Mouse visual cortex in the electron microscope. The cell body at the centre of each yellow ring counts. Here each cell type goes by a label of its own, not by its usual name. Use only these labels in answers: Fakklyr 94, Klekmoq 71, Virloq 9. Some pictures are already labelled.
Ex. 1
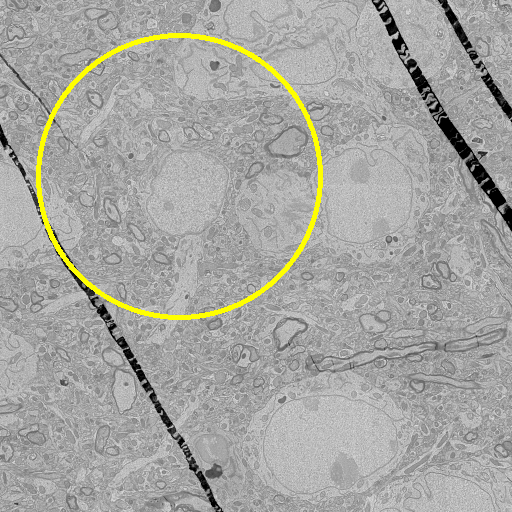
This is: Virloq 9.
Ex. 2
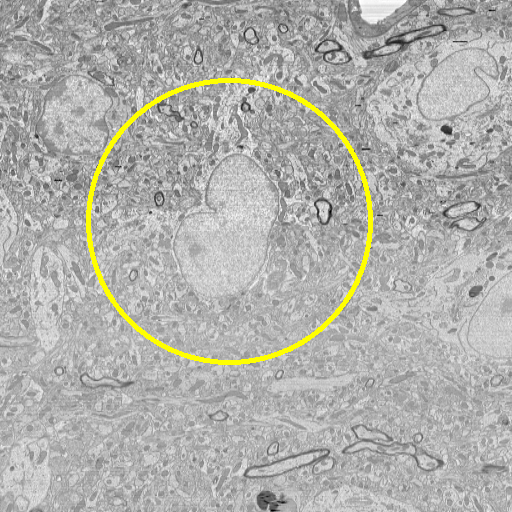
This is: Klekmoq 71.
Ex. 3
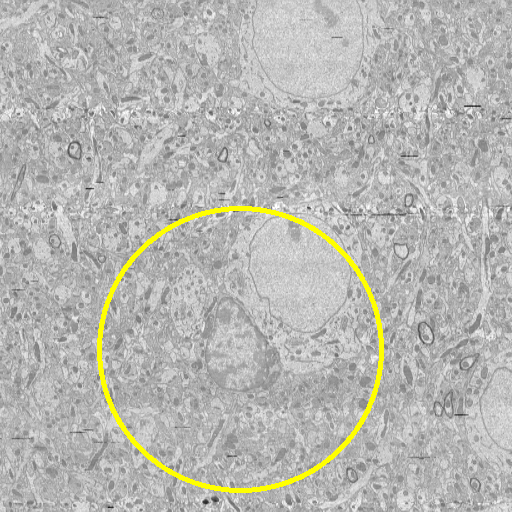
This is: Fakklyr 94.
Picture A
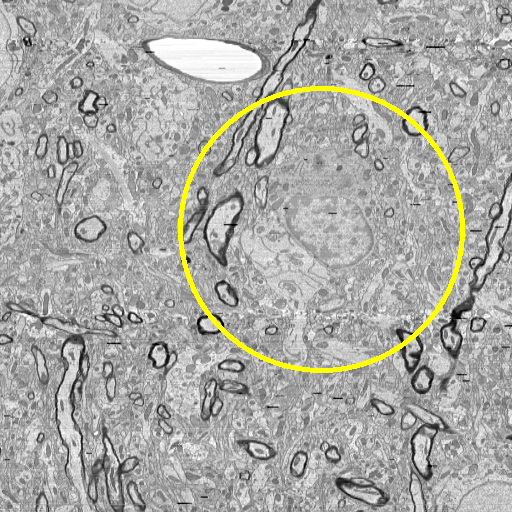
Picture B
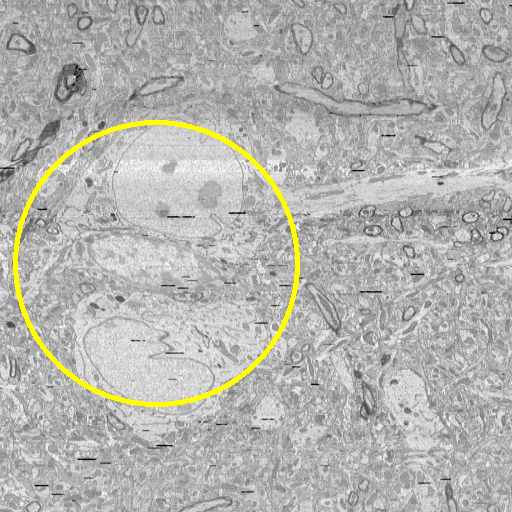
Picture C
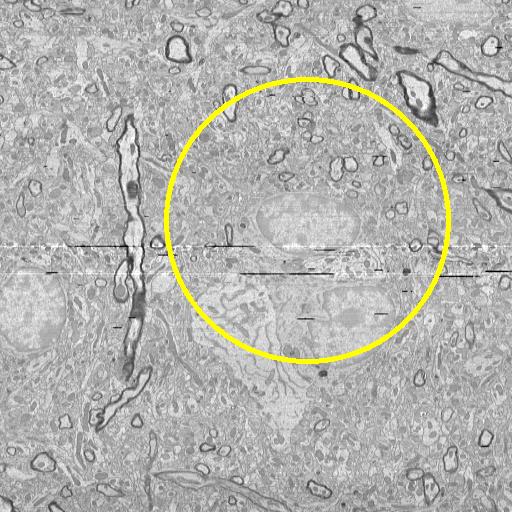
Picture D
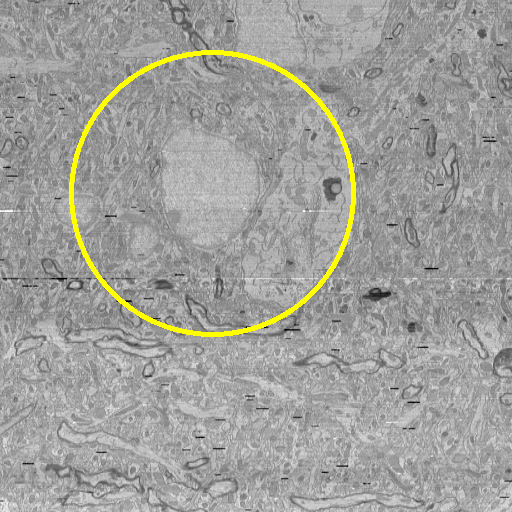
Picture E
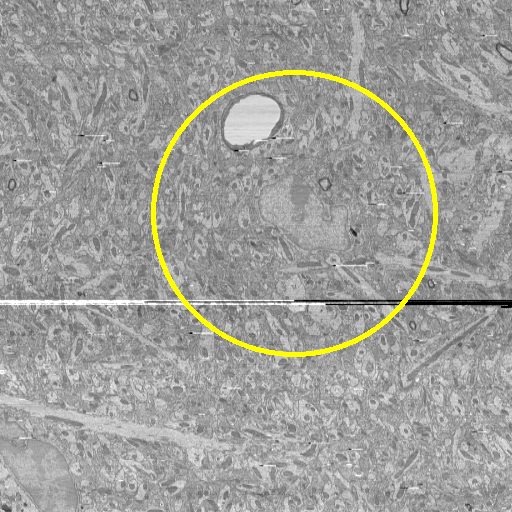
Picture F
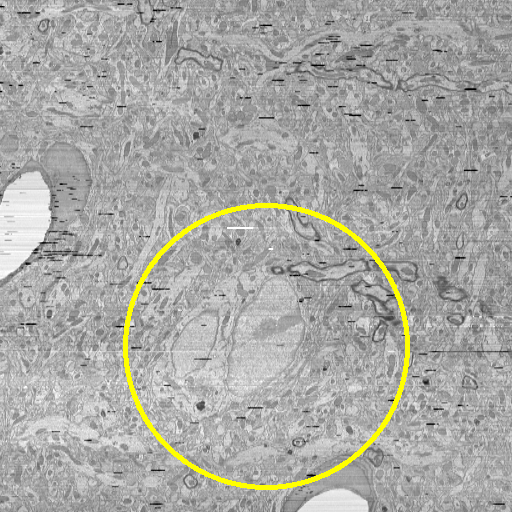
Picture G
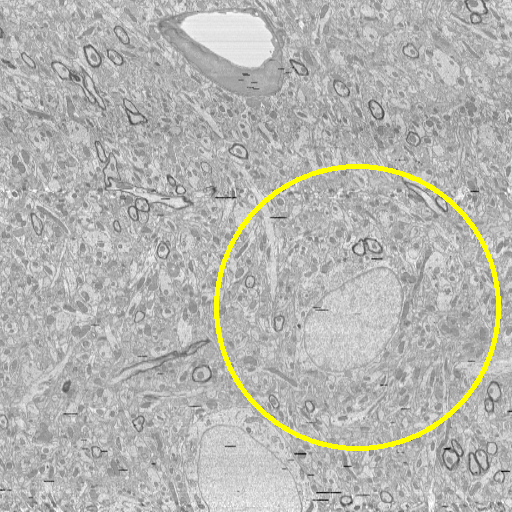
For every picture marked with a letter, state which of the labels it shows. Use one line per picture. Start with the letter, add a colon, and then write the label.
A: Fakklyr 94.
B: Fakklyr 94.
C: Fakklyr 94.
D: Klekmoq 71.
E: Virloq 9.
F: Virloq 9.
G: Klekmoq 71.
